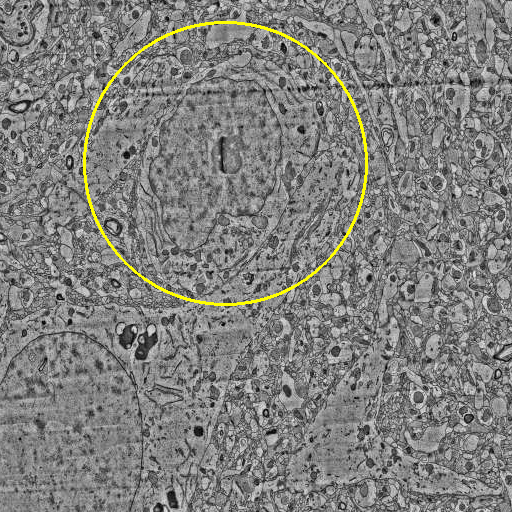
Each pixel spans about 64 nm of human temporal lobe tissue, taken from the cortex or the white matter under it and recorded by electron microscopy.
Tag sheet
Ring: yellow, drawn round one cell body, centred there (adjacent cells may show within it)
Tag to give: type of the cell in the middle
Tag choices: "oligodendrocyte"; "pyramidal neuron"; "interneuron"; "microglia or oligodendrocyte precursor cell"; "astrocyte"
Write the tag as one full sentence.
I tag the cell centred in the yellow ring as an interneuron in this picture.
